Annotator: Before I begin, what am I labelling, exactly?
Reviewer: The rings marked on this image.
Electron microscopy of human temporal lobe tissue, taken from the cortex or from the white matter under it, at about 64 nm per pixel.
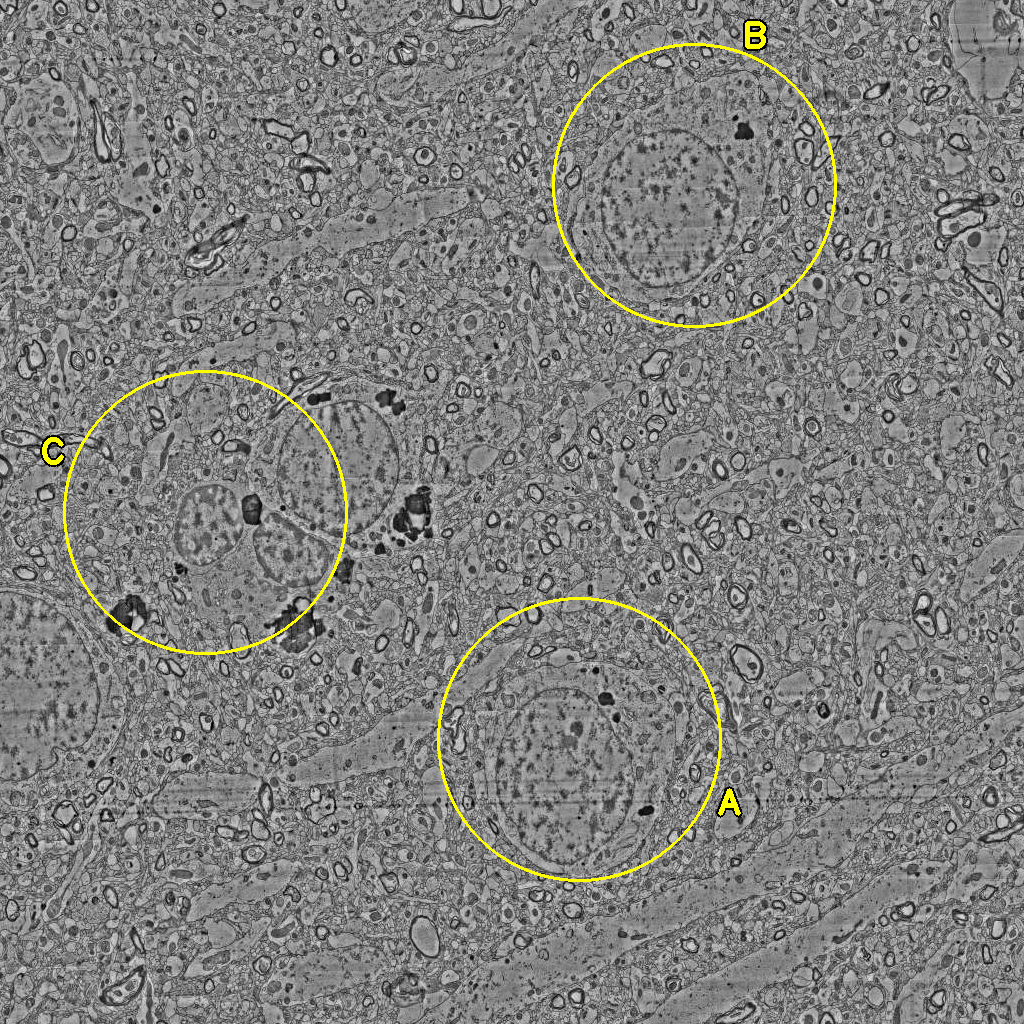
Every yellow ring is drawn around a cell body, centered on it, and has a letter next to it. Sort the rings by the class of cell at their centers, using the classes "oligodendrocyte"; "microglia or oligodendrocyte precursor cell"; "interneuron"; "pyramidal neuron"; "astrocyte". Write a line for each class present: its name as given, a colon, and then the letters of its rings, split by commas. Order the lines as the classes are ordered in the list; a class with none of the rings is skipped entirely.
oligodendrocyte: C
interneuron: B
pyramidal neuron: A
